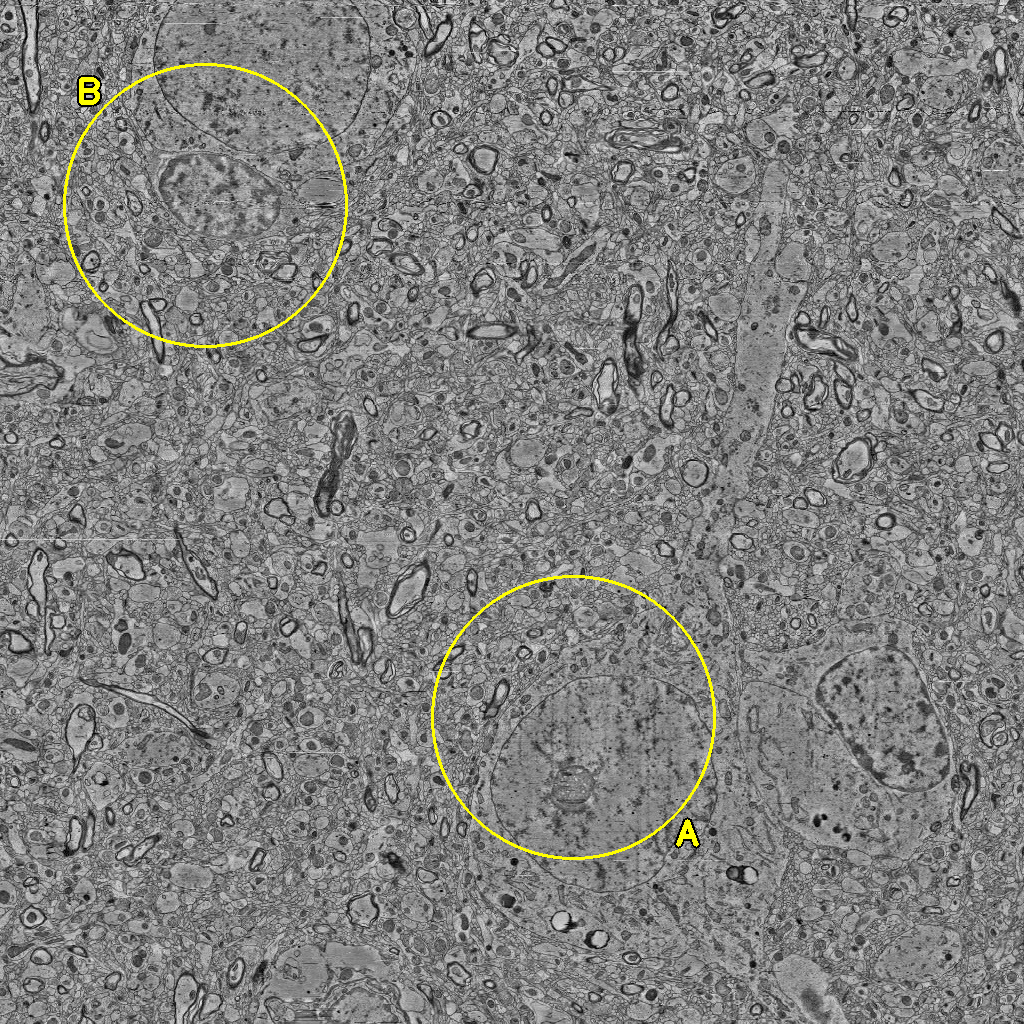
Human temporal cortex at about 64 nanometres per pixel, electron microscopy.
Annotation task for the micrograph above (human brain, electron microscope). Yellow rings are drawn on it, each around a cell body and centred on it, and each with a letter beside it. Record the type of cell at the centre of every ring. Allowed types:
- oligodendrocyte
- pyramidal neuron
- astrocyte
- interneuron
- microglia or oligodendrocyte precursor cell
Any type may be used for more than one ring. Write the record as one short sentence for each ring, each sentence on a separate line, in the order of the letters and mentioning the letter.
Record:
The cell centred in ring A is a pyramidal neuron.
The cell centred in ring B is an oligodendrocyte.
